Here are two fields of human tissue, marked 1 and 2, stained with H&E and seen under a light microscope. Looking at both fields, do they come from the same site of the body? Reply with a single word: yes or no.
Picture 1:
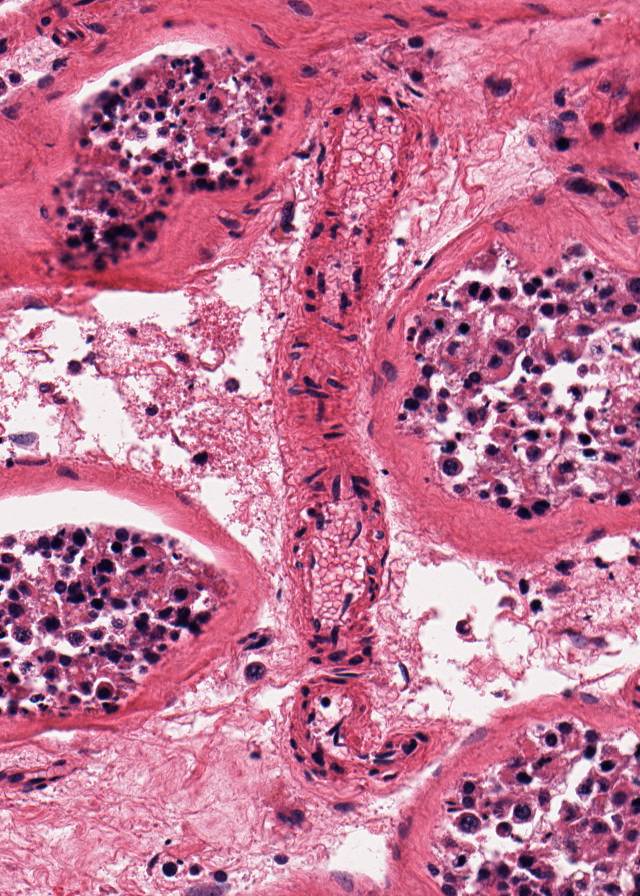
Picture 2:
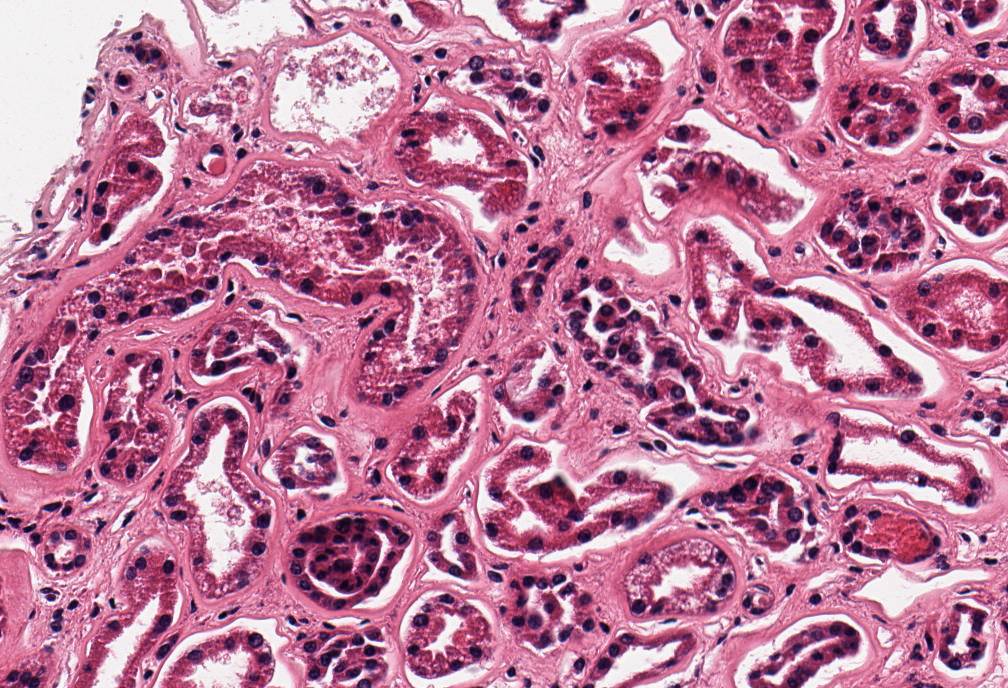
no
